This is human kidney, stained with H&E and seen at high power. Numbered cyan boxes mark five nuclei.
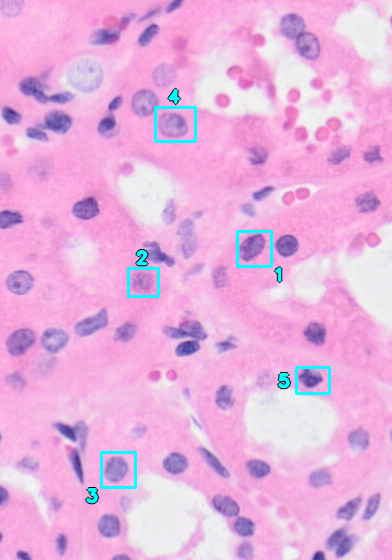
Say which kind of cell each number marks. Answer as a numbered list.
1. proximal tubule cell
2. proximal tubule cell
3. loop of Henle or distal tubule cell
4. proximal tubule cell
5. loop of Henle or distal tubule cell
